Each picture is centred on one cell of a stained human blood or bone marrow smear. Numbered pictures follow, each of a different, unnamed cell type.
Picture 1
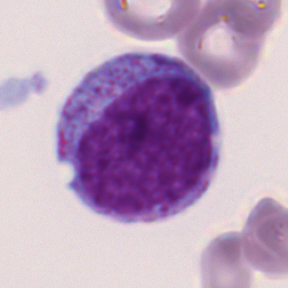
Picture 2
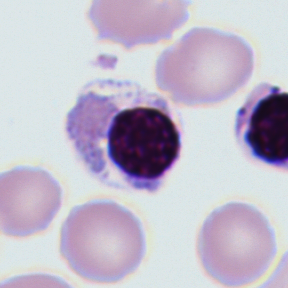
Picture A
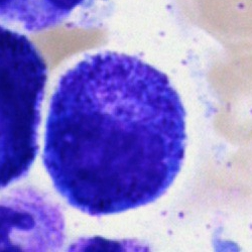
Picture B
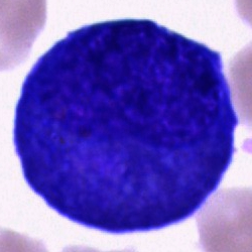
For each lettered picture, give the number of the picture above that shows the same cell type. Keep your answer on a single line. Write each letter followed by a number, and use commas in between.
A 1, B 1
